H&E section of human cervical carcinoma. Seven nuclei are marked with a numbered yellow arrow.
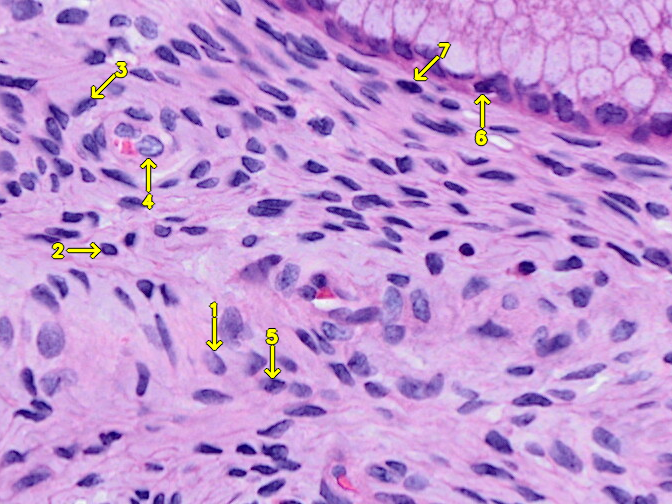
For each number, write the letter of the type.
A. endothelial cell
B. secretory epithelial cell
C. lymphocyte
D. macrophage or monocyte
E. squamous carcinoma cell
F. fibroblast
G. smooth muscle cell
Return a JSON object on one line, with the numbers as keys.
{"1": "F", "2": "F", "3": "F", "4": "A", "5": "F", "6": "B", "7": "C"}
